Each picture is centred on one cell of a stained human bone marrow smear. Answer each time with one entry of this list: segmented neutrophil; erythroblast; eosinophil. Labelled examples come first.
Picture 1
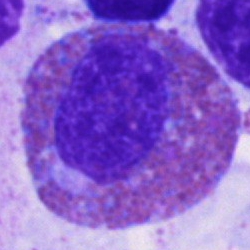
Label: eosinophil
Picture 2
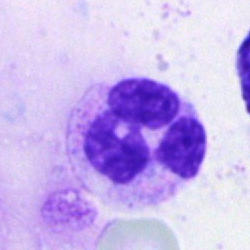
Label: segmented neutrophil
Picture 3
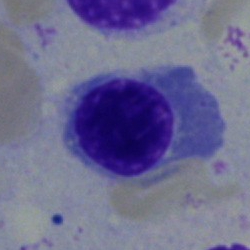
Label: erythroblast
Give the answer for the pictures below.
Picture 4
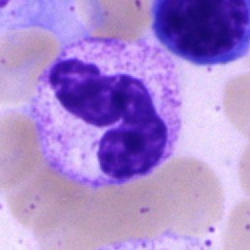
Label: segmented neutrophil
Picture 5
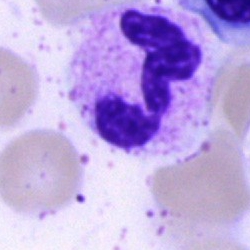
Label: segmented neutrophil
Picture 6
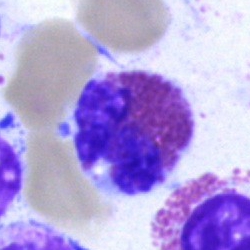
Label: eosinophil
